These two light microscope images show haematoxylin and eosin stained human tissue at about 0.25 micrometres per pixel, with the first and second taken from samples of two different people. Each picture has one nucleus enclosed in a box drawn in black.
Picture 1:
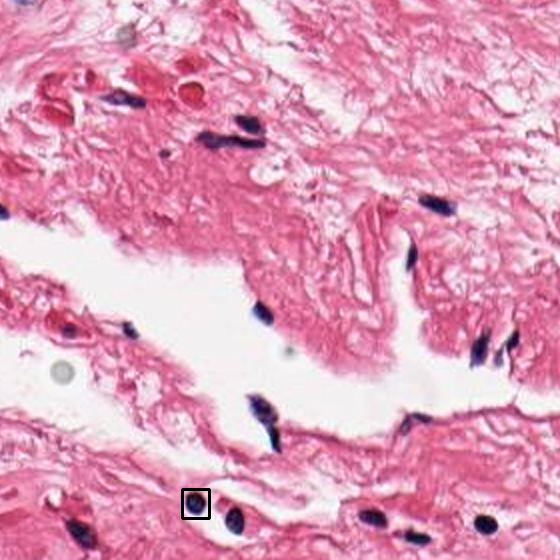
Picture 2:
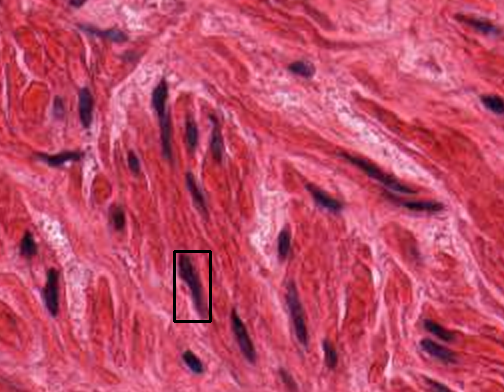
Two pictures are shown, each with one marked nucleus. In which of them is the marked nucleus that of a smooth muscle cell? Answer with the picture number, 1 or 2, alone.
2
